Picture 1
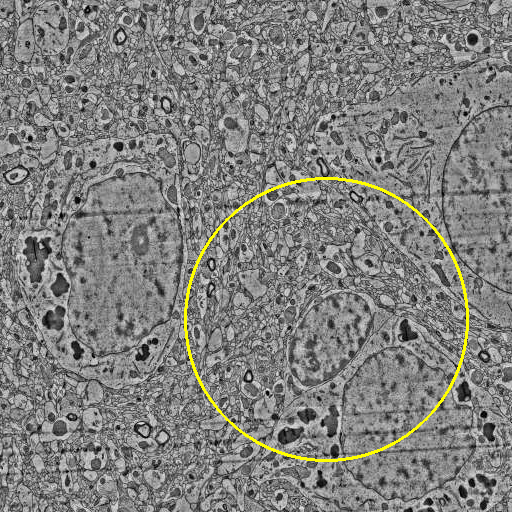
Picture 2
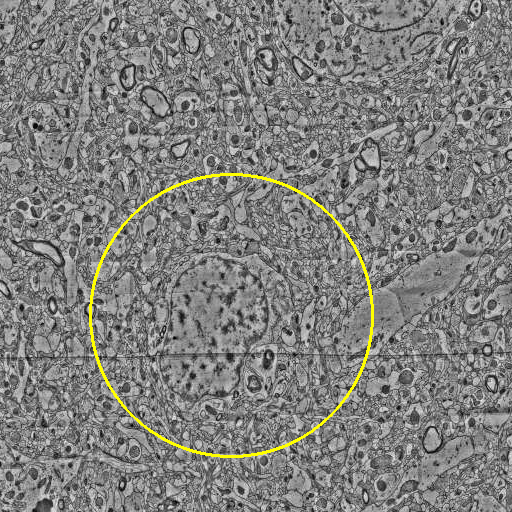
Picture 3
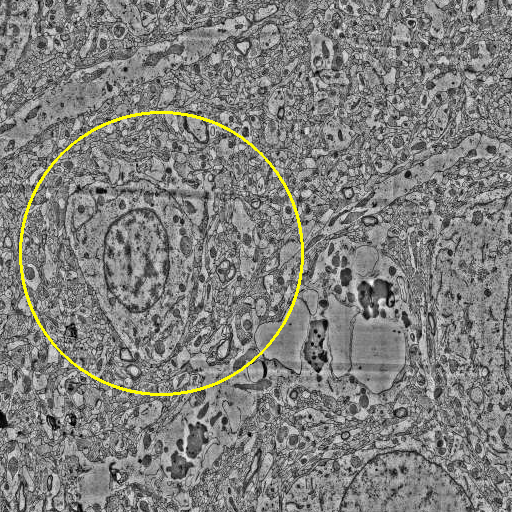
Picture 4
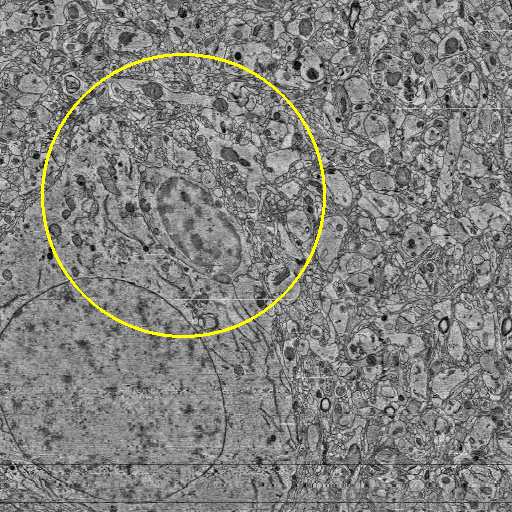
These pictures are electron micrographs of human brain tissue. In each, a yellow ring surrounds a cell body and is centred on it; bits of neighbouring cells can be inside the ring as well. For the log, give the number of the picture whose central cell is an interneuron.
2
